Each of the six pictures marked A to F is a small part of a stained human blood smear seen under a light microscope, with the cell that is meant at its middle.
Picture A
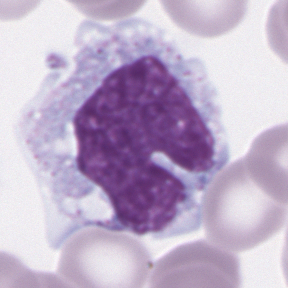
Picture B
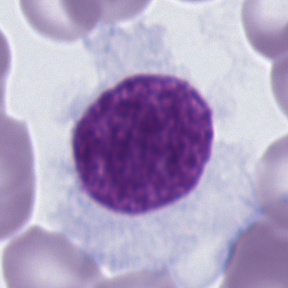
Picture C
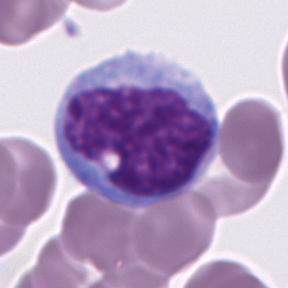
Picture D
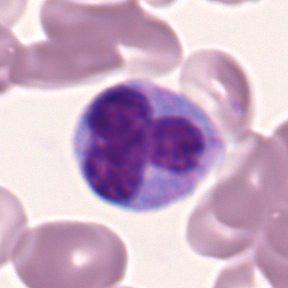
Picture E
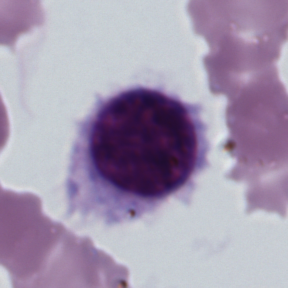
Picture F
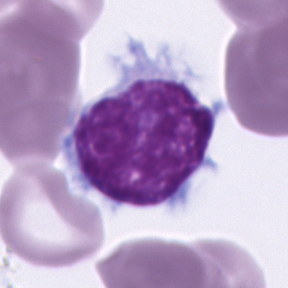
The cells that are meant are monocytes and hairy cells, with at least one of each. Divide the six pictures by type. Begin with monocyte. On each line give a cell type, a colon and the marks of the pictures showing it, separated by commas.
monocyte: A, C, D
hairy cell: B, E, F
